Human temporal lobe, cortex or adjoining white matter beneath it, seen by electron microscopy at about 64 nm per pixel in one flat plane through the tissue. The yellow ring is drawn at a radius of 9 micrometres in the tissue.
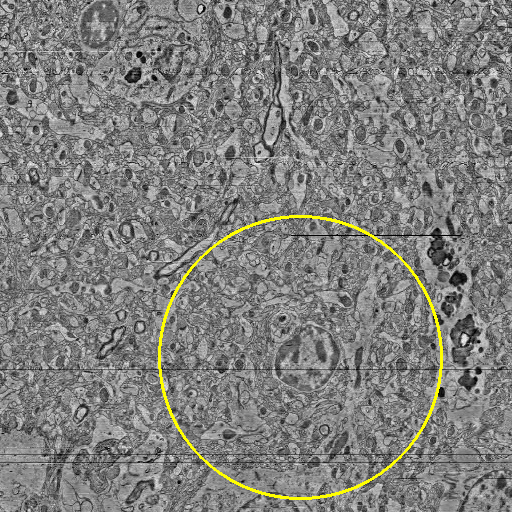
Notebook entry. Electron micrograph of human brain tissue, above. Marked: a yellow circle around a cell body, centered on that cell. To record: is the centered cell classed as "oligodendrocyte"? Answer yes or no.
No, the centered cell belongs to another kind.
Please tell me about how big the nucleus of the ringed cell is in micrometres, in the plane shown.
Approximately 4 micrometers across in this plane.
